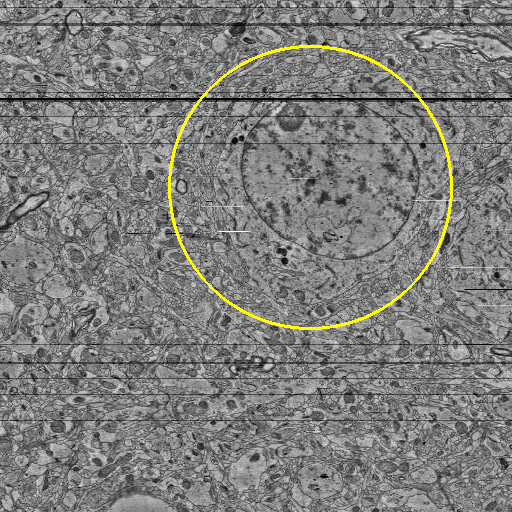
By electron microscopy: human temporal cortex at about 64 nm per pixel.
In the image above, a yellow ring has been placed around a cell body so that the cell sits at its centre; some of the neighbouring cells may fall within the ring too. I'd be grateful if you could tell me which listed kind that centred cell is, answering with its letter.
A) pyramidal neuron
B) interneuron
A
